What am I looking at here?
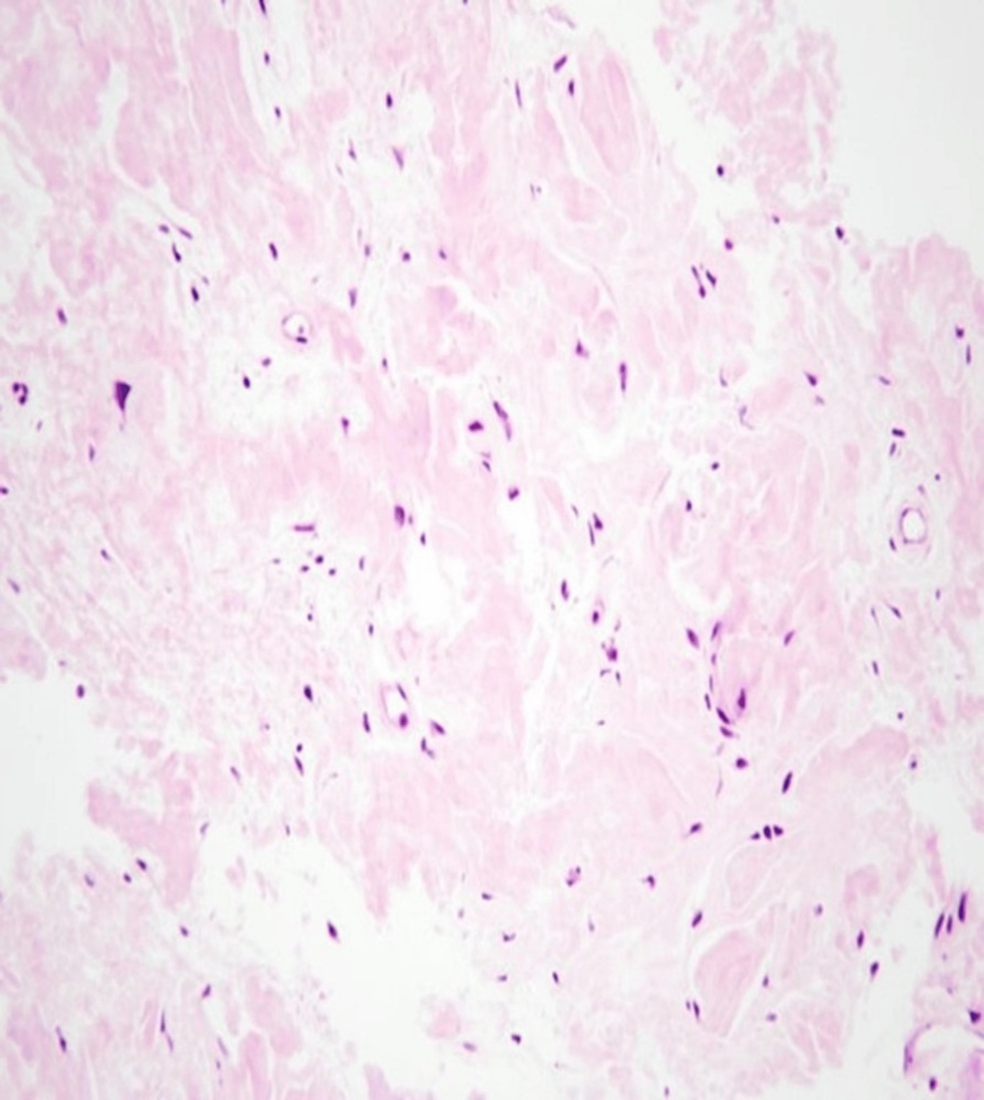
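This biopsy is taken up almost completely by pale pink, eosinophilic material that has an amorphous, glassy appearance. The material forms broad, smooth sheets and clumps with irregular cracks and clefts between them, and it shows no clear fibre pattern. Cells are sparse. A few small, dark purple nuclei, mostly elongated or spindle-shaped, are scattered between the deposits. Here and there small round vessel profiles with thin walls sit within the pink material.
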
